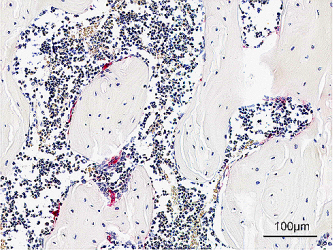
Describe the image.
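This section shows pale trabeculae of bone separated by marrow spaces packed with small round cells with dark blue nuclei. The bone matrix is pale grey-beige with small scattered nuclei of cells embedded in it. At several places along the bone surfaces, irregular cells stained wine red, the osteoclasts, lie pressed against the margin of the trabeculae. The marrow between the trabeculae is dense and cellular, with a few yellowish-brown areas among the cells.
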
